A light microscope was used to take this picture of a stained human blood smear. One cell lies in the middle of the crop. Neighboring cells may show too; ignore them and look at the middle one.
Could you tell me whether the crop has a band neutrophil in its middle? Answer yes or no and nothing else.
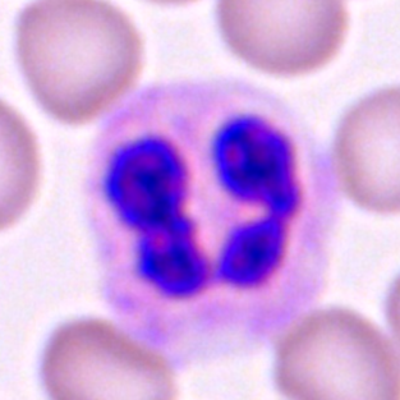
no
